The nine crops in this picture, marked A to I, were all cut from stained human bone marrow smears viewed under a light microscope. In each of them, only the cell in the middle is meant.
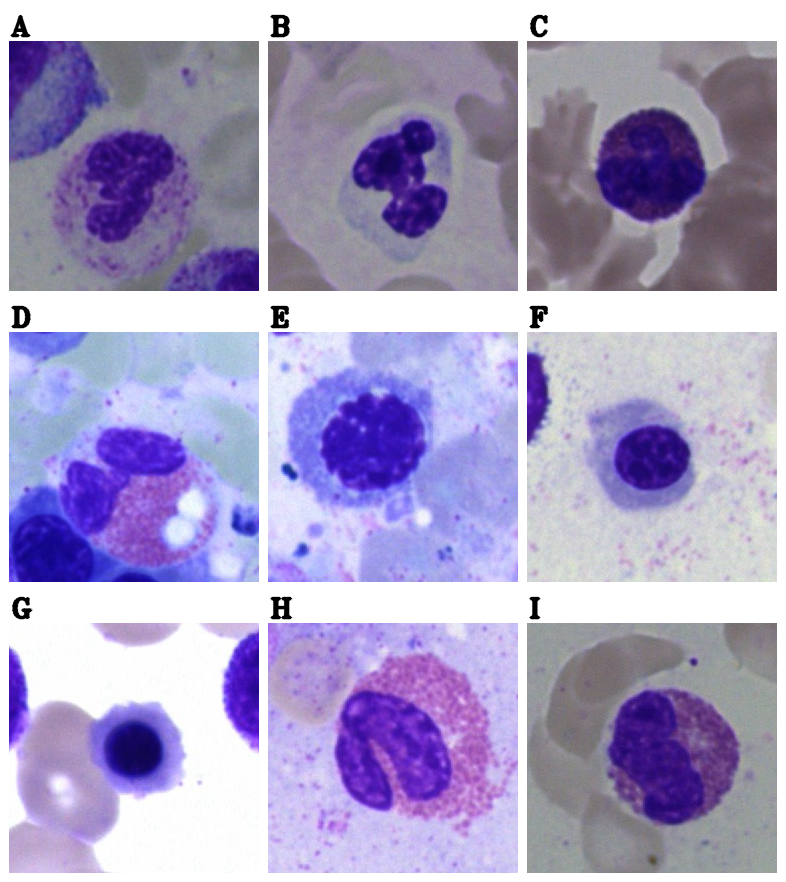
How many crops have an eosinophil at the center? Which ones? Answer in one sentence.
Showing eosinophils are crops C, D, H and I, which amount to four.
